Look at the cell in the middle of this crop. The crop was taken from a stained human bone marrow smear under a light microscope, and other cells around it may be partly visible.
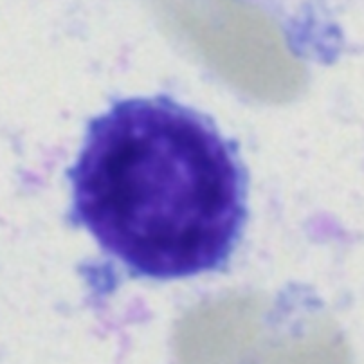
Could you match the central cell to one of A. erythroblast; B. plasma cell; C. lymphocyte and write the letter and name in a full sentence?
The cell centred in the crop is a lymphocyte, and the correct option is thus C.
